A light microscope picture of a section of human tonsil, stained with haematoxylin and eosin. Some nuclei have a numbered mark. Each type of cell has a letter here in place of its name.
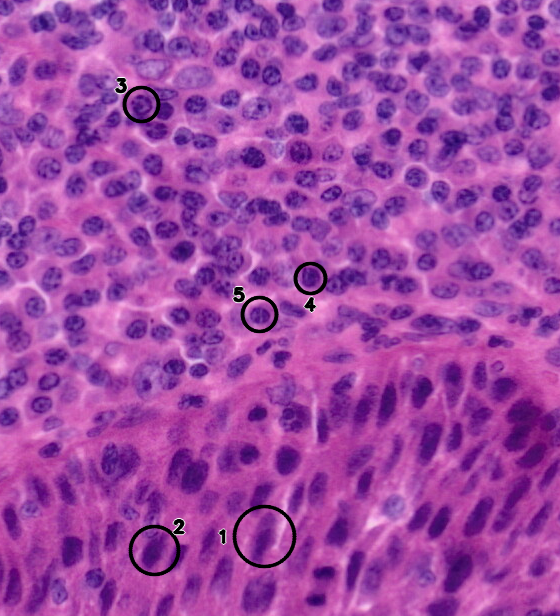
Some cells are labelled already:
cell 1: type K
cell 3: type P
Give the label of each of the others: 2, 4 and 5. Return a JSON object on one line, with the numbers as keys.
{"2": "type K", "4": "type P", "5": "type P"}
